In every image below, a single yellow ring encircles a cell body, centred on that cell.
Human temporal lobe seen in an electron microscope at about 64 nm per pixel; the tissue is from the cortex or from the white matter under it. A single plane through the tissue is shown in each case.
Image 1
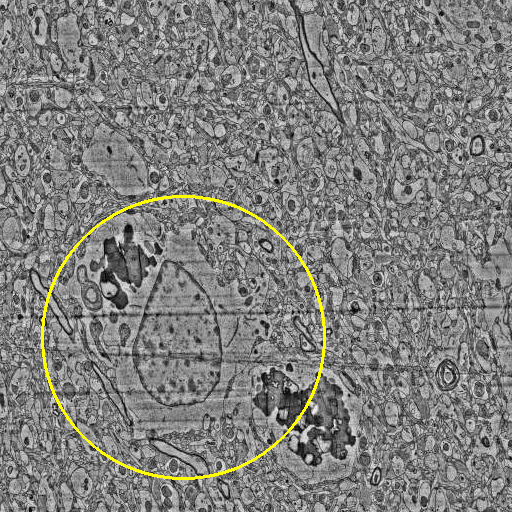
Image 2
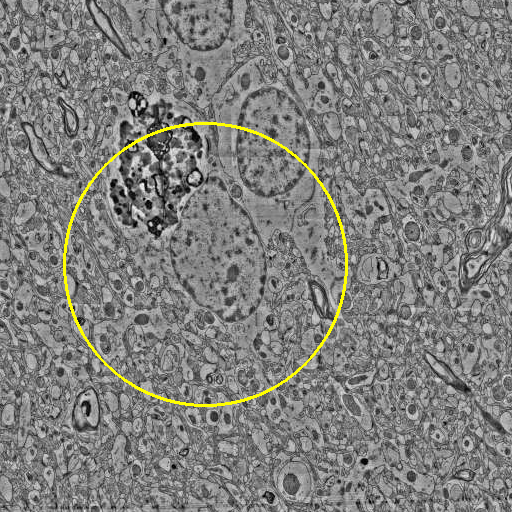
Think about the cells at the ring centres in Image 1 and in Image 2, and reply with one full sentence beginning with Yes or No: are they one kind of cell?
Yes, the cells centred in the rings of Image 1 and Image 2 are one kind of cell.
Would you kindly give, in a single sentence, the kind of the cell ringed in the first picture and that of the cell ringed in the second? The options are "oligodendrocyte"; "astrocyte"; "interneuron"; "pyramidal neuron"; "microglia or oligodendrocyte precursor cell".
Each cell at the centre of a ring is an astrocyte.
